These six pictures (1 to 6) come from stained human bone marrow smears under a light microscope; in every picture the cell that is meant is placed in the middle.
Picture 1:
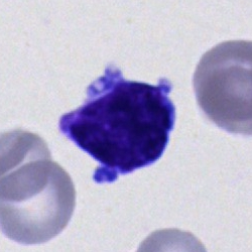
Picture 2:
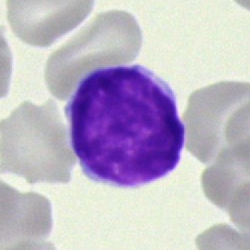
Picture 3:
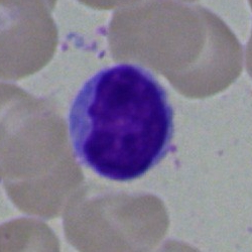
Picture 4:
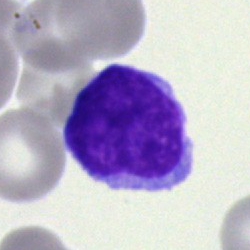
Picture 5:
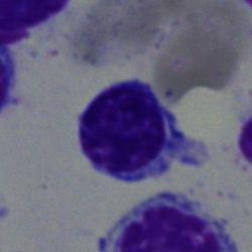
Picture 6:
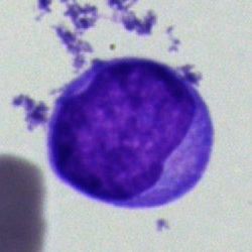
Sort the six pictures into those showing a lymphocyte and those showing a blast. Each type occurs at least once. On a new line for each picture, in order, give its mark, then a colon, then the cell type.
1: blast
2: lymphocyte
3: lymphocyte
4: lymphocyte
5: lymphocyte
6: blast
